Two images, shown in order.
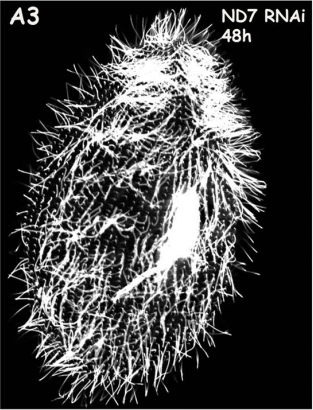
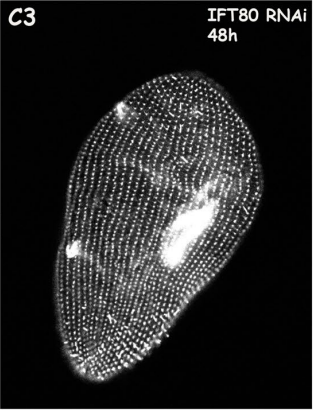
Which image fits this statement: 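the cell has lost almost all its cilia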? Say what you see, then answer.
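First image: the cell is covered with many long bright cilia. Second image: the cell surface shows only rows of dots with almost no projecting cilia.
The second image.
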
